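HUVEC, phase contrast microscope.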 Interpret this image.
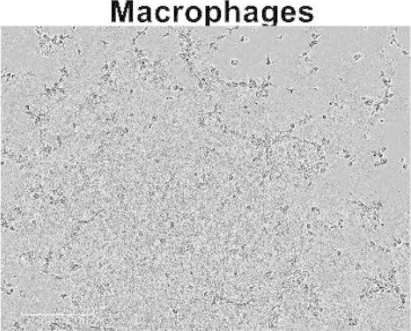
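The cells appear as small, dark-rimmed, irregular bodies against a pale grey background. Many of them lie in small clusters, and in places thin strands run between neighbouring cells and clusters. Other cells lie singly, scattered between these groups. At this magnification no nuclei or other internal detail can be made out.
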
